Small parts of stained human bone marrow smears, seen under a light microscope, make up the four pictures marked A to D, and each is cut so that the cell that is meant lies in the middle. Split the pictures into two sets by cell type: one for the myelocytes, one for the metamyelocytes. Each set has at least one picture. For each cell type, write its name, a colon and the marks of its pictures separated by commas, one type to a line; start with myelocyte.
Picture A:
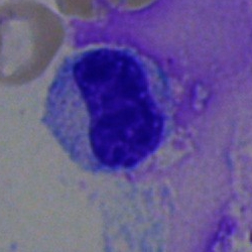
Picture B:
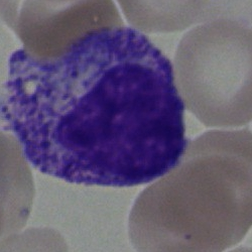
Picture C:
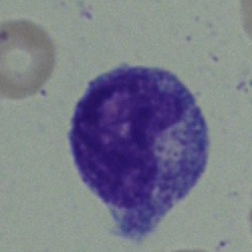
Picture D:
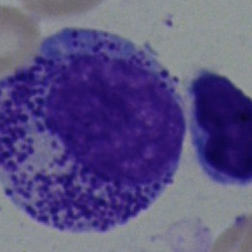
myelocyte: B, C, D
metamyelocyte: A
